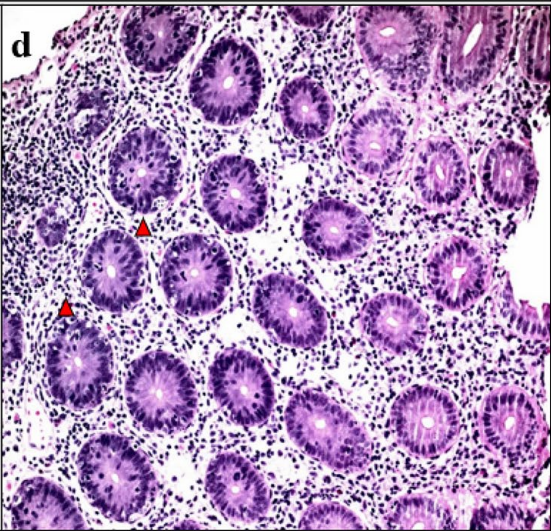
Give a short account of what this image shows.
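Colonic mucosa with crypts cut in cross-section, each a ring of tall columnar epithelial cells around a small central lumen. The epithelial nuclei are elongated, dark and crowded, and the cytoplasm is pink to purple, with no pale, rounded mucin-filled goblet cells in the crypt linings. Small dark fragments and small round dark nuclei lie among the epithelial cells of some crypts. The lamina propria between the crypts is filled with many small round dark-staining inflammatory cells, densest toward the left edge.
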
